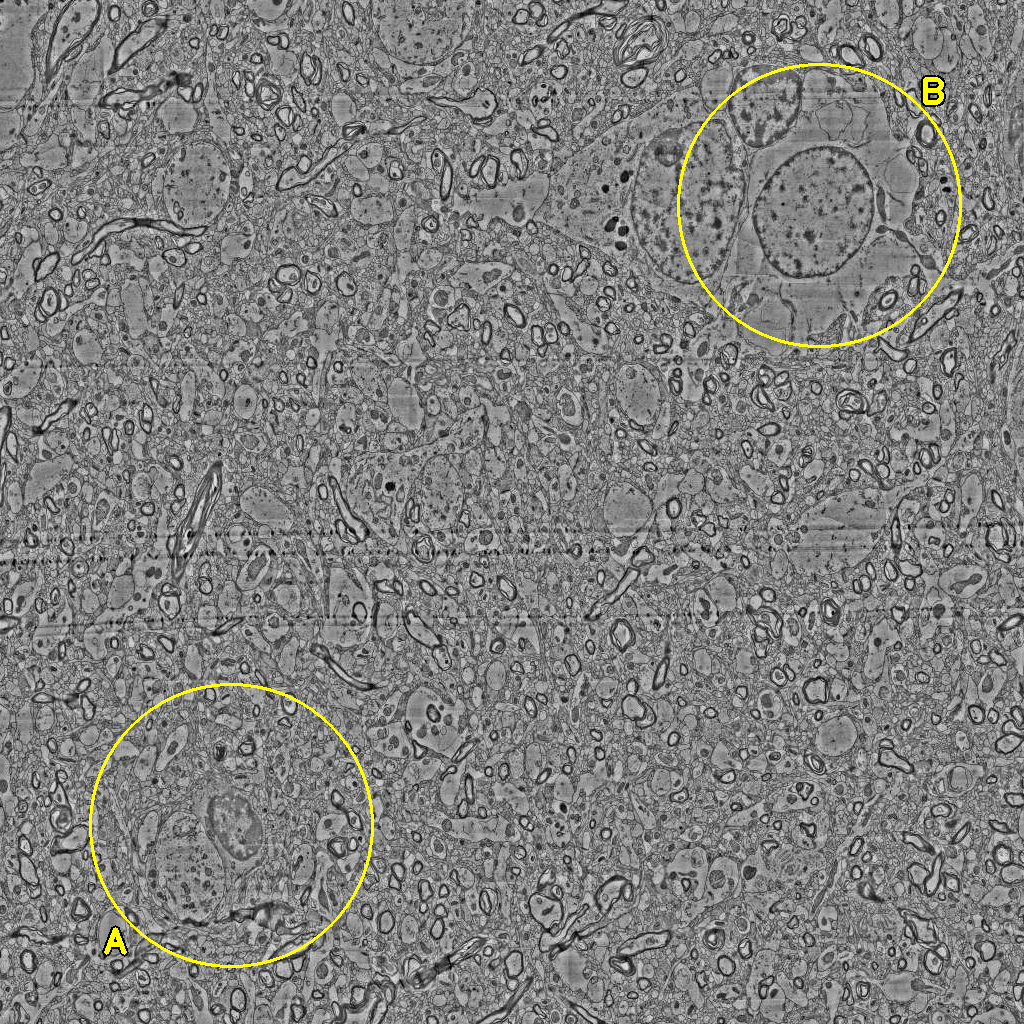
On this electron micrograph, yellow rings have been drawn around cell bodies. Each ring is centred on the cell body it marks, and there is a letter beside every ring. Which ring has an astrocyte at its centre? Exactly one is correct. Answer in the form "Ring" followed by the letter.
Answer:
Ring B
